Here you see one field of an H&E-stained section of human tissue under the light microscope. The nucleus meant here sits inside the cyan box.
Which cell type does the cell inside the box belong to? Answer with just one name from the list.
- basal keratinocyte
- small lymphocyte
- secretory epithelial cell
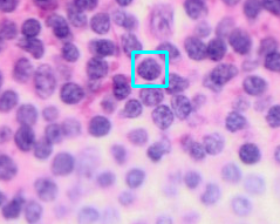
small lymphocyte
